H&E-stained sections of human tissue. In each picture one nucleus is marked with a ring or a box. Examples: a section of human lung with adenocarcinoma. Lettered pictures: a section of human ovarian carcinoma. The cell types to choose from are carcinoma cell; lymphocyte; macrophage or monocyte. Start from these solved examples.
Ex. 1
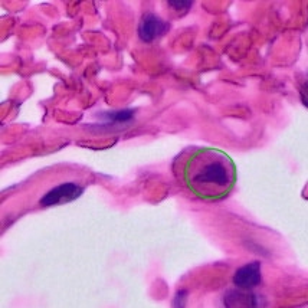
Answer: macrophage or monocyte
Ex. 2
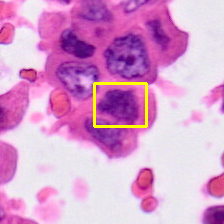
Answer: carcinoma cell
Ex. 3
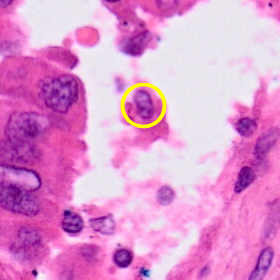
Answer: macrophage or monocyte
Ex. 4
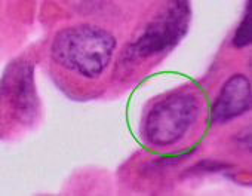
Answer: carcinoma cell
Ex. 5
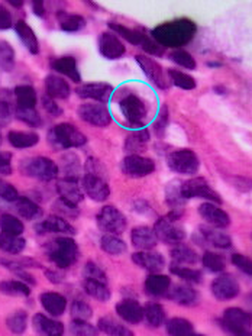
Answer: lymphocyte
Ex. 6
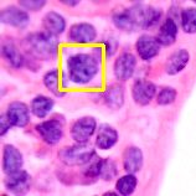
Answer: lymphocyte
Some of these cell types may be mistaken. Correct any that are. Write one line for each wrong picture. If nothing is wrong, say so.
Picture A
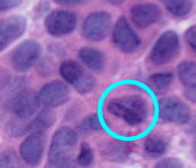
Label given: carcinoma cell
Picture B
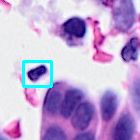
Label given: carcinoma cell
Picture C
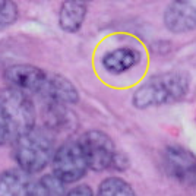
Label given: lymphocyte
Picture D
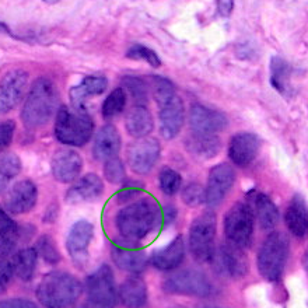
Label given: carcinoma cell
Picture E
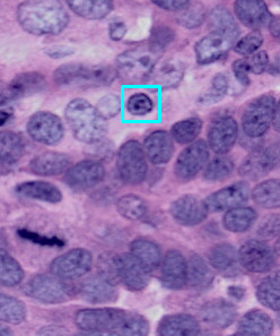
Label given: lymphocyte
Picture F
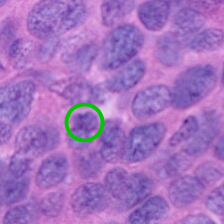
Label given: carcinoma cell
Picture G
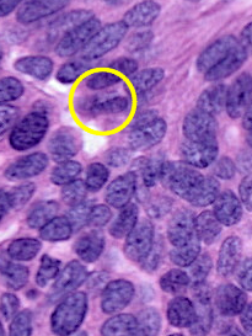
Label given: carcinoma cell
B is labelled carcinoma cell; correct label: lymphocyte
